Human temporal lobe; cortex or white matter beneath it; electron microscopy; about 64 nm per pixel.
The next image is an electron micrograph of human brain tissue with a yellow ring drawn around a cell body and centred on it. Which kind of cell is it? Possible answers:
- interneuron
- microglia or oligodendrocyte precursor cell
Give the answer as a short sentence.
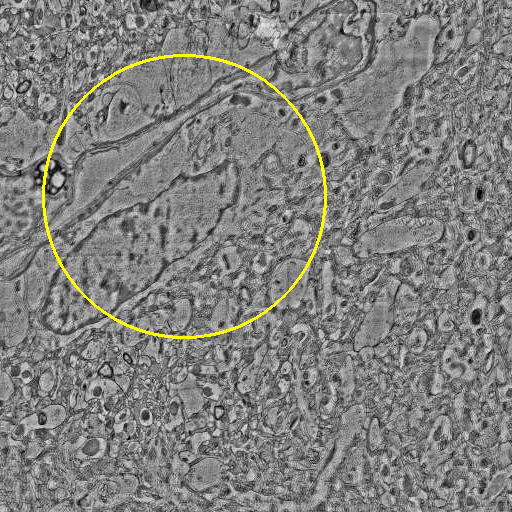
In the ring's centre is a microglial cell or oligodendrocyte precursor cell.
